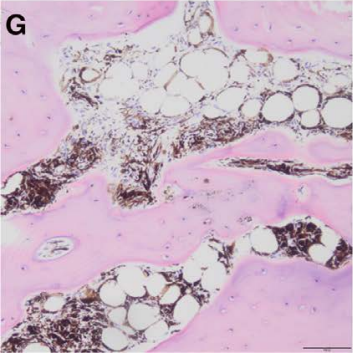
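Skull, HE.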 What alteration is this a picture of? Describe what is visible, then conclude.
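Pink bone trabeculae with lacunae border the marrow spaces. Clusters of heavily dark-pigmented cells lie in the spaces between the trabeculae, among fat cells.
Tumor invasion.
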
